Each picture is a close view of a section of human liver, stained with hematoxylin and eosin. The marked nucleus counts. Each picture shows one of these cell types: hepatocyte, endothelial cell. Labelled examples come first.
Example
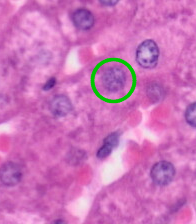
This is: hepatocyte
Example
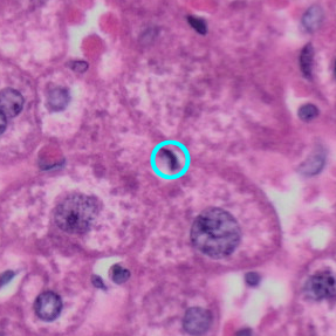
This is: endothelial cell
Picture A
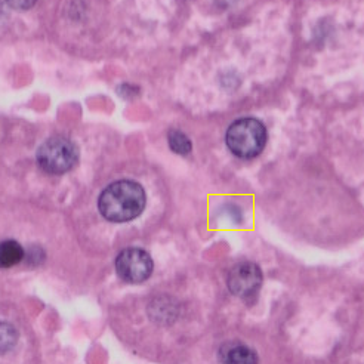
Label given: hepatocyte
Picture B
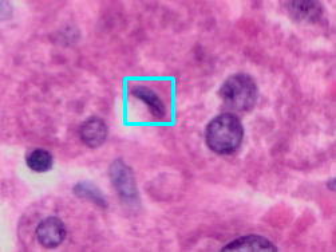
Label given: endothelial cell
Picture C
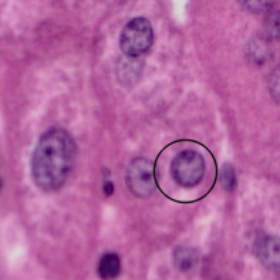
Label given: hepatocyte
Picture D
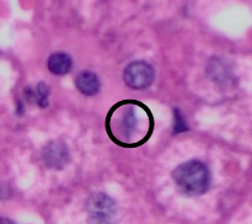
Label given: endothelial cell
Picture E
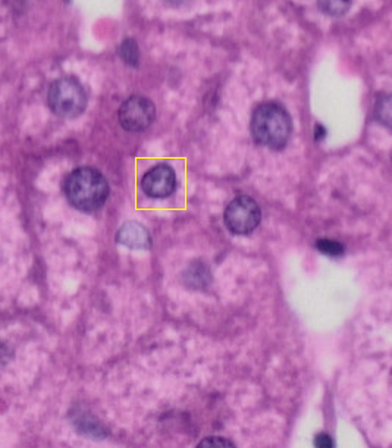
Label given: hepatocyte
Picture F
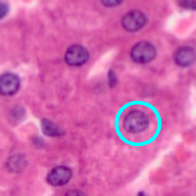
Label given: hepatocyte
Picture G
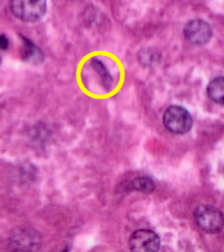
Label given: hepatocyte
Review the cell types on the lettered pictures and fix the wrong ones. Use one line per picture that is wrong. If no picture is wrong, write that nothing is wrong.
A is labelled hepatocyte; correct label: endothelial cell
G is labelled hepatocyte; correct label: endothelial cell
